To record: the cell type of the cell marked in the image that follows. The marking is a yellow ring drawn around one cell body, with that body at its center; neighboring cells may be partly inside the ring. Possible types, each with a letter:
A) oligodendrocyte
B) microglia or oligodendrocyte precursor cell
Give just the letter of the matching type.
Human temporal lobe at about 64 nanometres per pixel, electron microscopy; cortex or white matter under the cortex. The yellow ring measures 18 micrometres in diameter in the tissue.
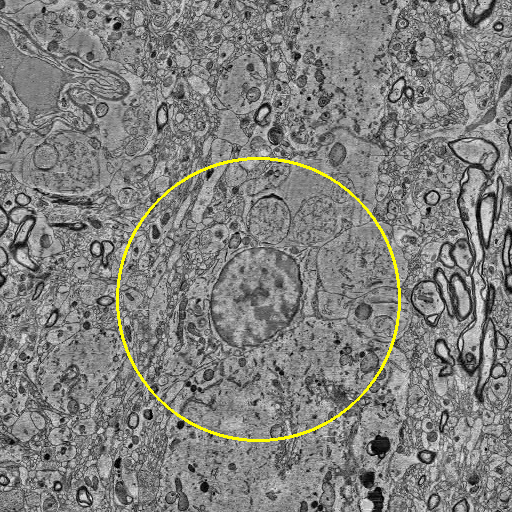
B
